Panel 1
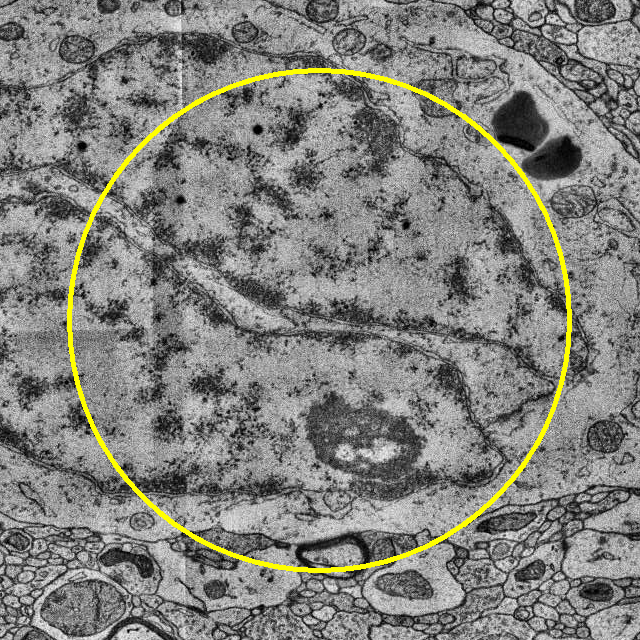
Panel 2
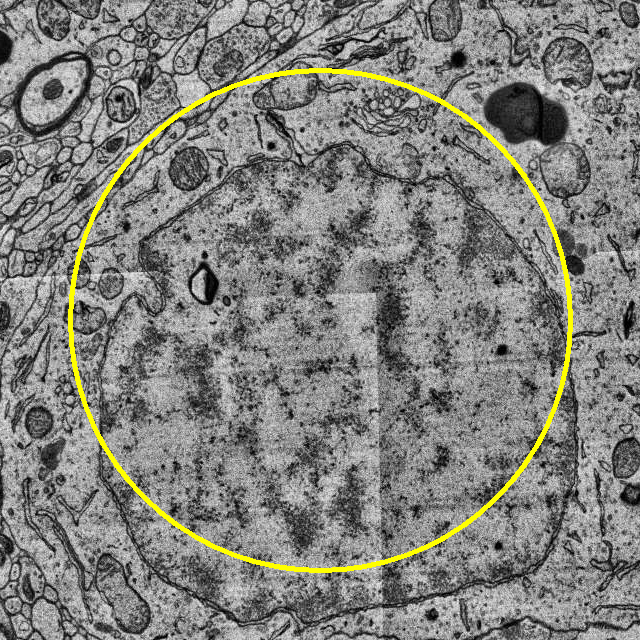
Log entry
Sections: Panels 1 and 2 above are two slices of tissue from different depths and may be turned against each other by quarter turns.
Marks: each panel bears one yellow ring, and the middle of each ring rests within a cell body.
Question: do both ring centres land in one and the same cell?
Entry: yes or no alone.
no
